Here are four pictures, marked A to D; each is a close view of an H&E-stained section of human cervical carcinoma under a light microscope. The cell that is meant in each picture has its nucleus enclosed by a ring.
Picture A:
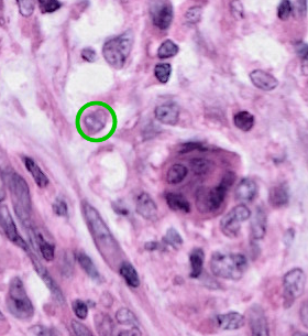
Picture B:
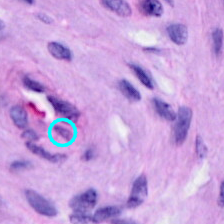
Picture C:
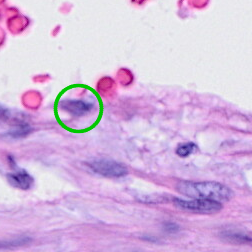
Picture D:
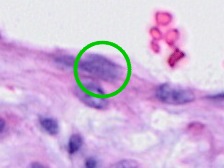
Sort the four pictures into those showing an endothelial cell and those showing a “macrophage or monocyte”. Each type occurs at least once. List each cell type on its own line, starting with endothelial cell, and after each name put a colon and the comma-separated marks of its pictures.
endothelial cell: B, C, D
macrophage or monocyte: A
